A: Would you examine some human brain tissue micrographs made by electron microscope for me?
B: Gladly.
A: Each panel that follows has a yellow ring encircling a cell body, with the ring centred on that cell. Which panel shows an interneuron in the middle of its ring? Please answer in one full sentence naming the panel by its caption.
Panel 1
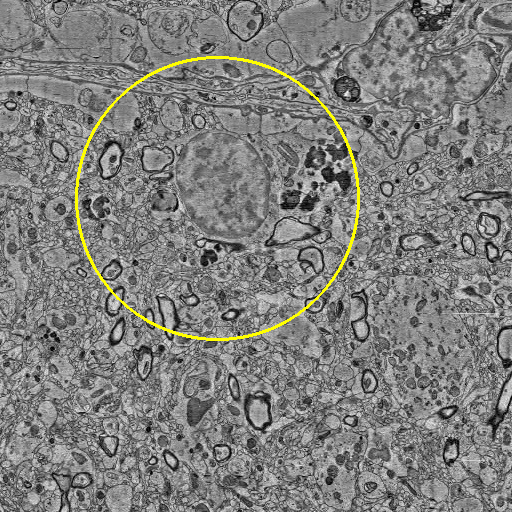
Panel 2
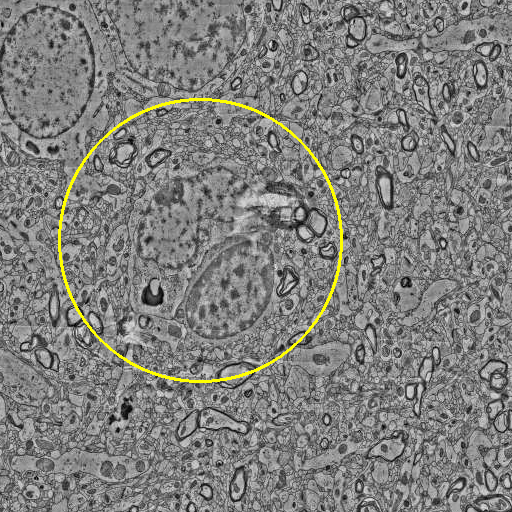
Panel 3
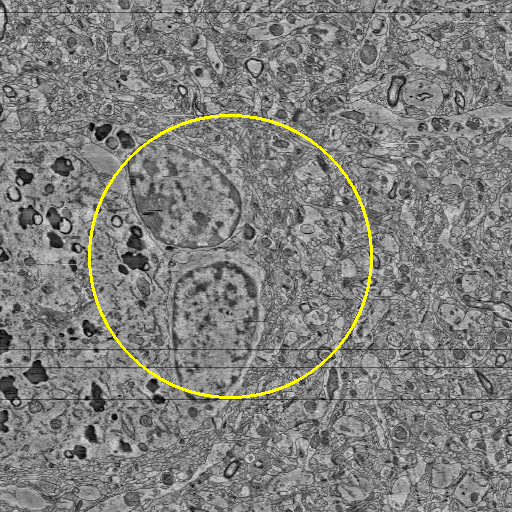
Panel 2 is where the ring sits centred on the requested cell.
